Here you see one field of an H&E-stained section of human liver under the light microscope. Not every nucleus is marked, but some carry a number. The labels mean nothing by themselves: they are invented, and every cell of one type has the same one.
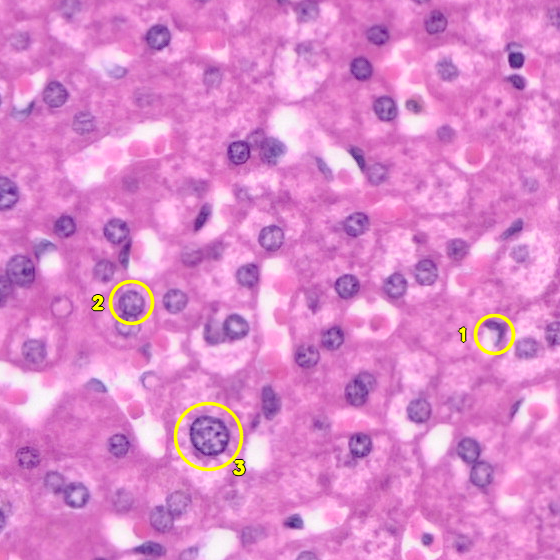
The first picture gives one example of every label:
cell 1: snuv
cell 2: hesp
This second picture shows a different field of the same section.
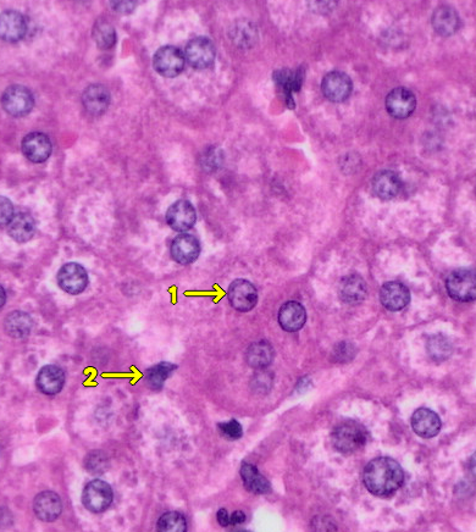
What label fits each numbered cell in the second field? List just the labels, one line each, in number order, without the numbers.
hesp
snuv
